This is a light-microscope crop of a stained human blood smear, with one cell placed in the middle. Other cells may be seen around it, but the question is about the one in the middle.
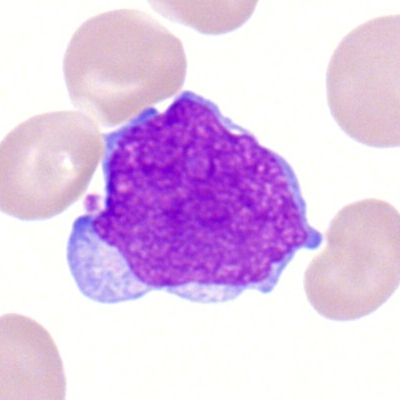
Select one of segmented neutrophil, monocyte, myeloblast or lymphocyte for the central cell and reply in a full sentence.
In short, the cell at the center is a myeloblast.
